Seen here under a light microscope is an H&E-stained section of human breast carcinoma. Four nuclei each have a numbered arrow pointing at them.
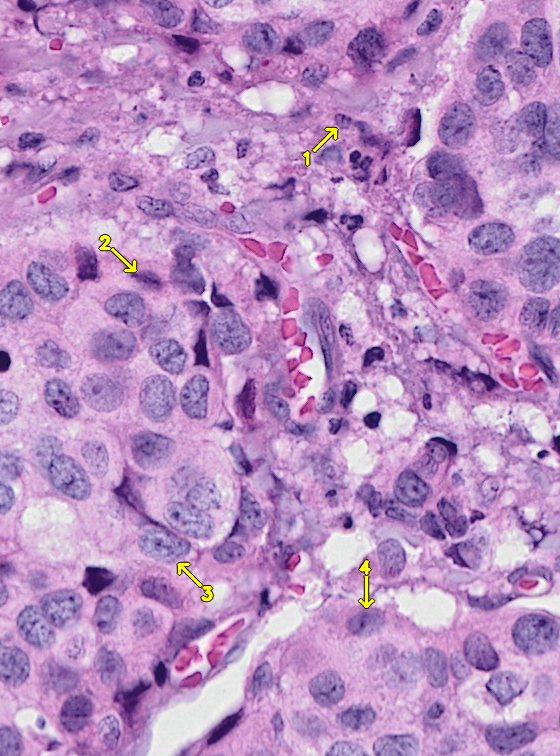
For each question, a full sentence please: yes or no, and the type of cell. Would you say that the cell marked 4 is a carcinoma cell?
Yes, the cell referred to as number 4 is a carcinoma cell.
